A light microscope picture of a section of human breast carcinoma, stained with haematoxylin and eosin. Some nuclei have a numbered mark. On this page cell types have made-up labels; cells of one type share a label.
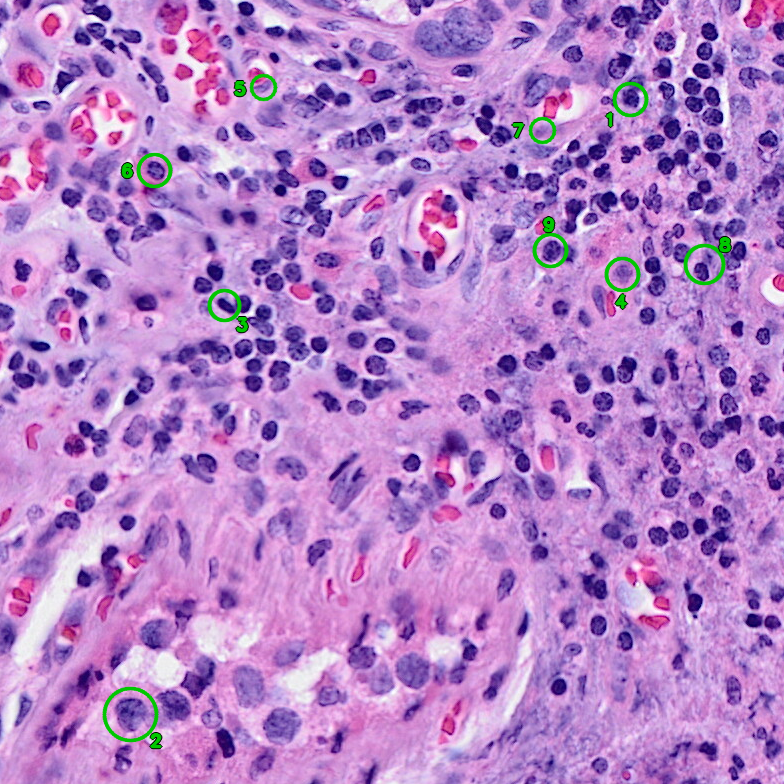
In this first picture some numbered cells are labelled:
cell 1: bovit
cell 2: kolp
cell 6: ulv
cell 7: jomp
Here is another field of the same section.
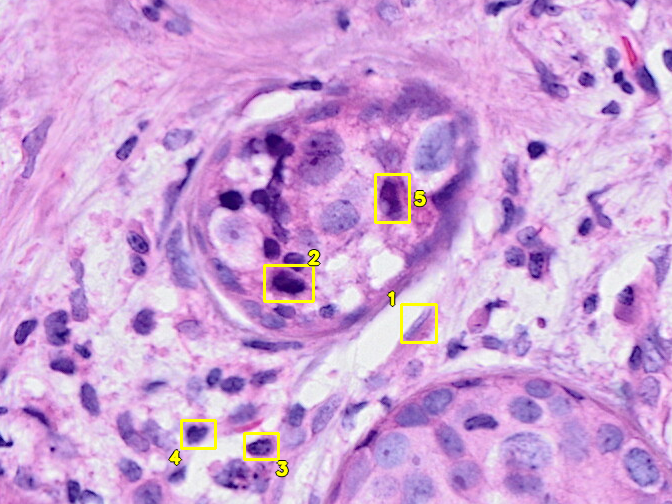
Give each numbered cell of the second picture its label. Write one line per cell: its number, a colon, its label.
1: jomp
2: kolp
3: ulv
4: bovit
5: kolp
